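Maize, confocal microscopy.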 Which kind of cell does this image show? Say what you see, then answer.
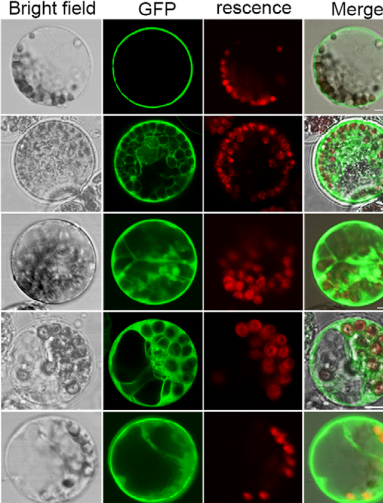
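Mesophyll protoplasts. Cells are round and free, with no cell wall corners. Bright field shows numerous round chloroplast-like granules in the cytoplasm.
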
